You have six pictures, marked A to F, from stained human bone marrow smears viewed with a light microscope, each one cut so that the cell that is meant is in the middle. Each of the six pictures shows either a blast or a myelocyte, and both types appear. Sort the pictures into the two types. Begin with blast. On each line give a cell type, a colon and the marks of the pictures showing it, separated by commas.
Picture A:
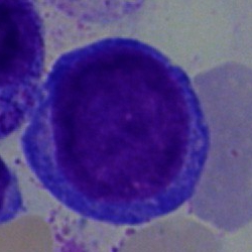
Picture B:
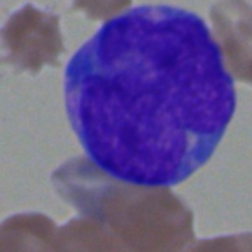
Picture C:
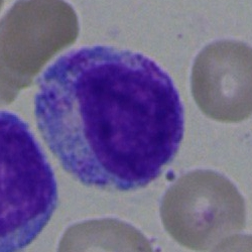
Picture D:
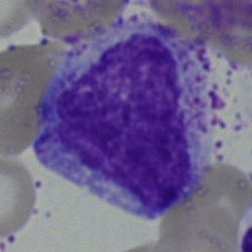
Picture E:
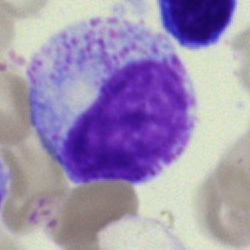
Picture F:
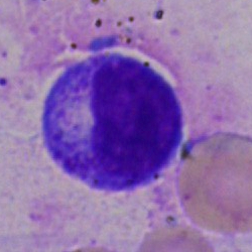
blast: A, B
myelocyte: C, D, E, F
